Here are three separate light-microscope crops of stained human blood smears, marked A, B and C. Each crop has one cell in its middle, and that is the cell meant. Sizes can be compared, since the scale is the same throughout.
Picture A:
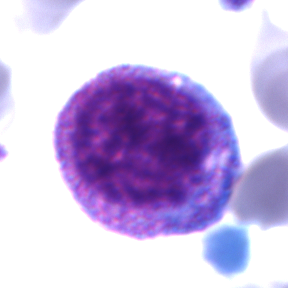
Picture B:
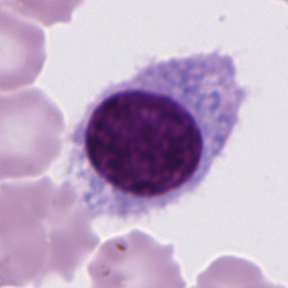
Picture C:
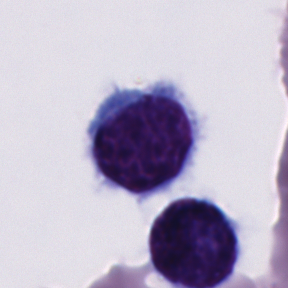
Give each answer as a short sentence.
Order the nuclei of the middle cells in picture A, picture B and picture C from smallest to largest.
From the smallest up, the order is C, B, A.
